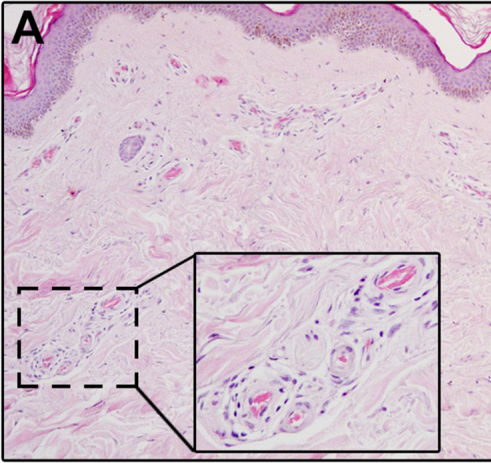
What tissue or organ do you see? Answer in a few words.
Skin.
